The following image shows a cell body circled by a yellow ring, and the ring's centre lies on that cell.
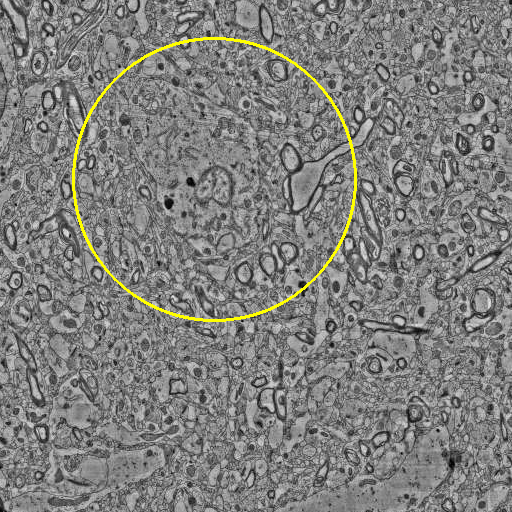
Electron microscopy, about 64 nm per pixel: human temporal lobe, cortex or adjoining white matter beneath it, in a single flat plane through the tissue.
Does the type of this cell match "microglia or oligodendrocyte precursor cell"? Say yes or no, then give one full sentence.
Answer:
No, the cell at the ring's centre in this picture has a different type.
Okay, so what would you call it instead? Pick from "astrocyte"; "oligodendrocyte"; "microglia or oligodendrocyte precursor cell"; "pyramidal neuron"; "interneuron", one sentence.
The cell marked by the ring is a pyramidal neuron.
